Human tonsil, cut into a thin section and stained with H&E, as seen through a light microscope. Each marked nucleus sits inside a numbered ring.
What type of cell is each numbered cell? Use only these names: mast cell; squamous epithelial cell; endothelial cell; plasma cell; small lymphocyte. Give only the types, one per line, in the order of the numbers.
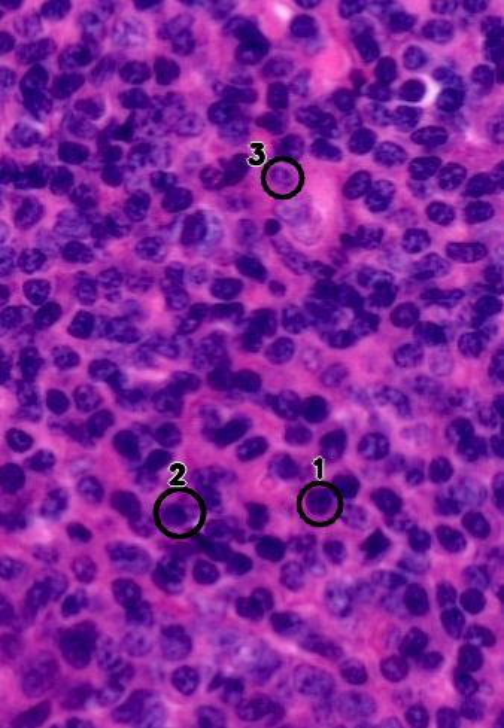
plasma cell
plasma cell
endothelial cell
